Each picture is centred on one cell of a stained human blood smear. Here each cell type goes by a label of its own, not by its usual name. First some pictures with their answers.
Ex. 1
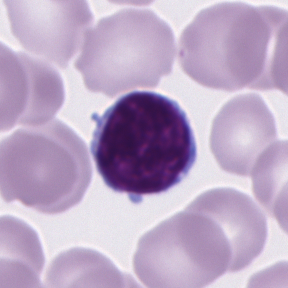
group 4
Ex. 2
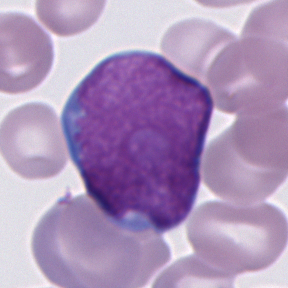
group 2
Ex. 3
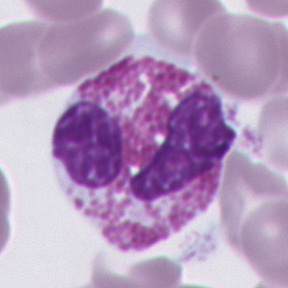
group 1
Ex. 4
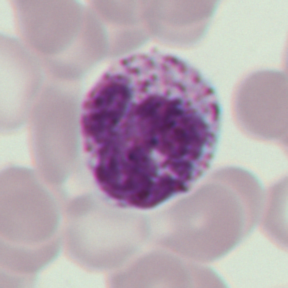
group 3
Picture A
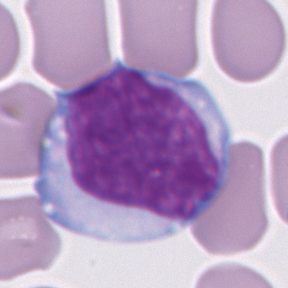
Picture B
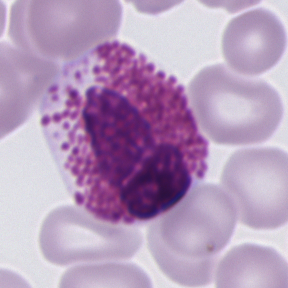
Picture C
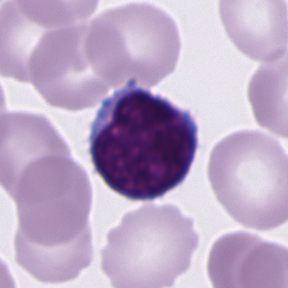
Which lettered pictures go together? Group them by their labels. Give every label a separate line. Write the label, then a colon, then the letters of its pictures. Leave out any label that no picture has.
group 4: C
group 2: A
group 1: B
